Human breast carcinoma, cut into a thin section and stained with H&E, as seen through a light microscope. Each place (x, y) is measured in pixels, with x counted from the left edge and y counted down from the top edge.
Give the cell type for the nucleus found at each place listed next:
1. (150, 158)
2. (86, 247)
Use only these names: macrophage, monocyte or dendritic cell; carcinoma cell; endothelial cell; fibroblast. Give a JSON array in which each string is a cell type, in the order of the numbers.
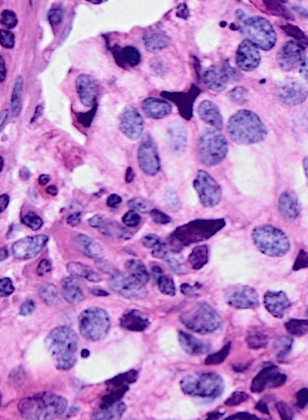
["carcinoma cell", "endothelial cell"]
